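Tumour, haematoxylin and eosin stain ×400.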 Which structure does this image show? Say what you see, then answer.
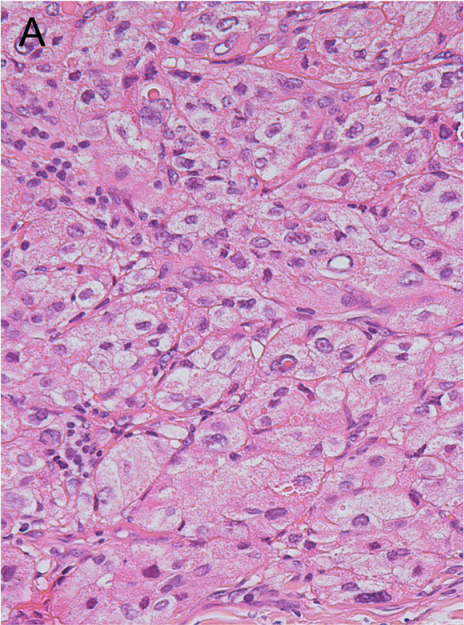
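Groups of large polygonal cells are separated by thin fibrous septa with small vessels. Cells have abundant pale pink granular cytoplasm.
Answer: nests of neoplastic cells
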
